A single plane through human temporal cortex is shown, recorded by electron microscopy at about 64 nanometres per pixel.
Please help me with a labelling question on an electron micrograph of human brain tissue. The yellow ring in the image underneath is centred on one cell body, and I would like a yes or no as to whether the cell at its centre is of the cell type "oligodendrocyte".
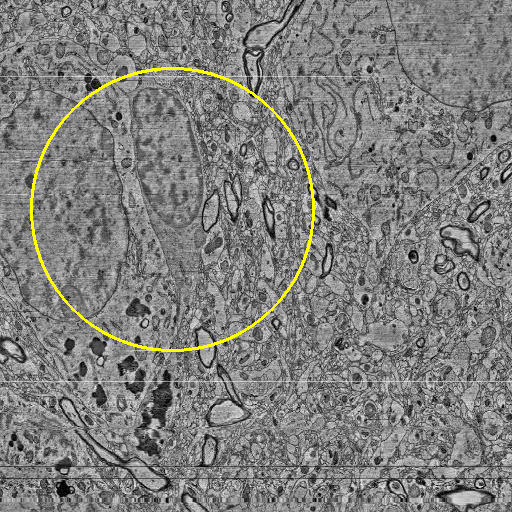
yes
